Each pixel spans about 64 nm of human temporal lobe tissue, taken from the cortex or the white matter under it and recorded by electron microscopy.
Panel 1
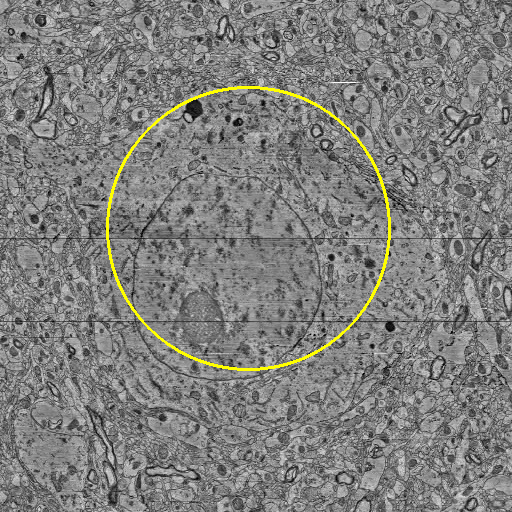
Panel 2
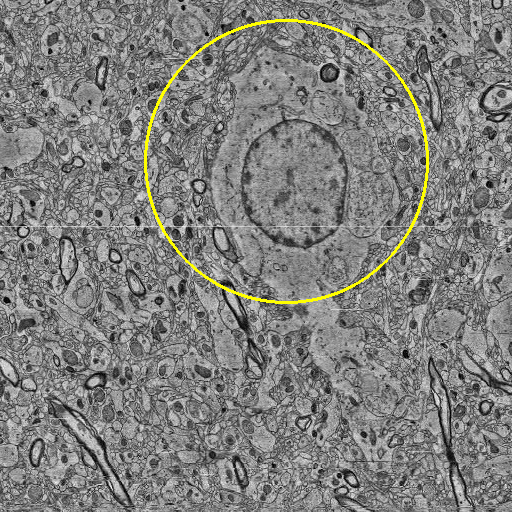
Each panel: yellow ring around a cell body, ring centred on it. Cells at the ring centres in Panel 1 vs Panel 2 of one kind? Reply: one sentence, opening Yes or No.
No, Panel 1 and Panel 2 have cells of two kinds at the ring centres.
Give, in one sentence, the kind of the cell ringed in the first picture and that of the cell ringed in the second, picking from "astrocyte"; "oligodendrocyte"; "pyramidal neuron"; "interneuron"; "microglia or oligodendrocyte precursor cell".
For the first picture it is a pyramidal neuron; for the second, an astrocyte.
